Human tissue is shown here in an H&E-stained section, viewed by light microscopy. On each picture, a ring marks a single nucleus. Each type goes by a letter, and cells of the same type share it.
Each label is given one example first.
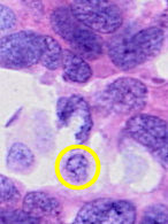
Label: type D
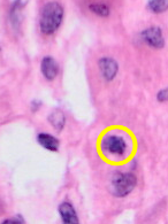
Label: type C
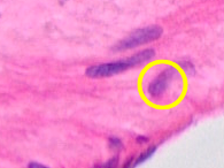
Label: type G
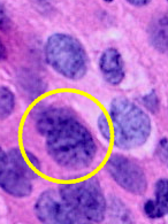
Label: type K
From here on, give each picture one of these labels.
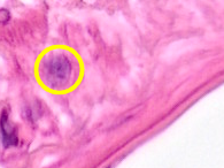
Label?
type G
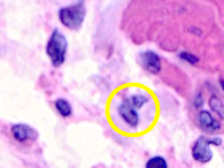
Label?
type D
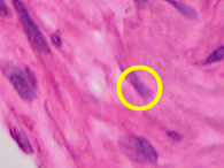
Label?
type G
